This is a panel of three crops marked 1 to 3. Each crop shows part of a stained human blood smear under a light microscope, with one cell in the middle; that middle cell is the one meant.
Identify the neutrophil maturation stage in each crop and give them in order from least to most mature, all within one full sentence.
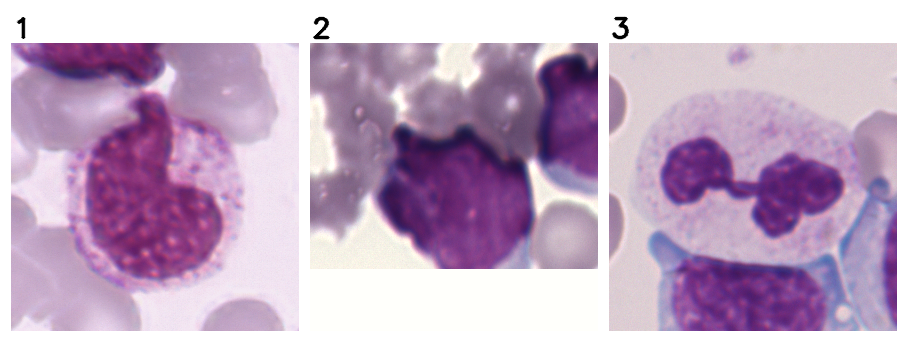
Sorted by stage of maturation, earliest first, the sequence is crop 2 (a myeloblast), crop 1 (a band neutrophil) and crop 3 (a segmented neutrophil).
